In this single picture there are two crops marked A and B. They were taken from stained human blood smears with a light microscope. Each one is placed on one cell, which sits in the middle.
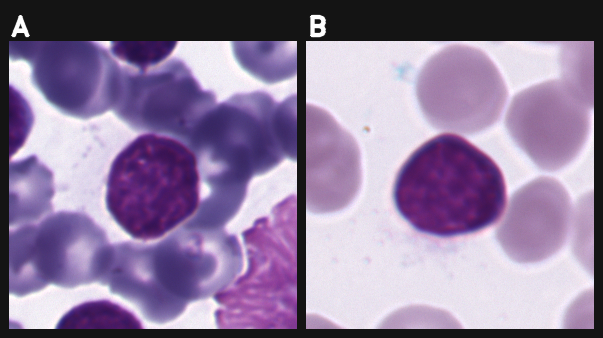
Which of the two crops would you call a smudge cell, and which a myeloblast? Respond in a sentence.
Crop A is a myeloblast; crop B, on the other hand, is a smudge cell.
